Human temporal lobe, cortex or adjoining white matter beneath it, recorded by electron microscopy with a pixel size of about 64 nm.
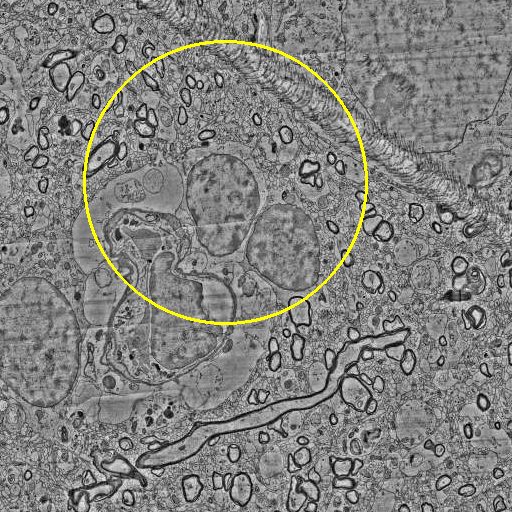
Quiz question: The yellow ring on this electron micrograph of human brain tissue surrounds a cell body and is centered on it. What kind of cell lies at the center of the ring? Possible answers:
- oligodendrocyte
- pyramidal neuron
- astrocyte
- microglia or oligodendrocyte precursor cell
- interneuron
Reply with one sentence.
The ring's center lies on a microglial cell or oligodendrocyte precursor cell.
